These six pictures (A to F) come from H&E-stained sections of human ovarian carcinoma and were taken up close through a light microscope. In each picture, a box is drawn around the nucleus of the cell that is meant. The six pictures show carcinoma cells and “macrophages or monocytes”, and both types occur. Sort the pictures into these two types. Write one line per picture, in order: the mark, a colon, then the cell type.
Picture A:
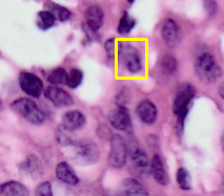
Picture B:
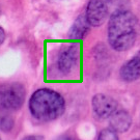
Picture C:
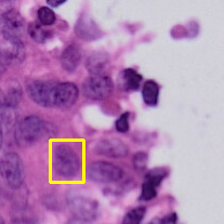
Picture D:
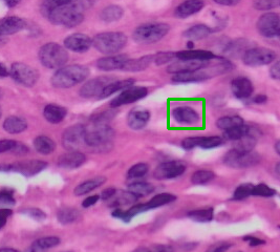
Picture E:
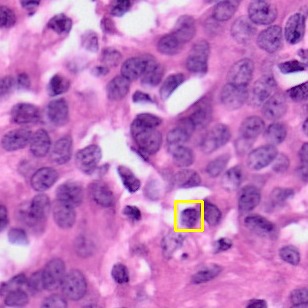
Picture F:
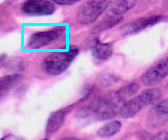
A: macrophage or monocyte
B: carcinoma cell
C: carcinoma cell
D: macrophage or monocyte
E: carcinoma cell
F: carcinoma cell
